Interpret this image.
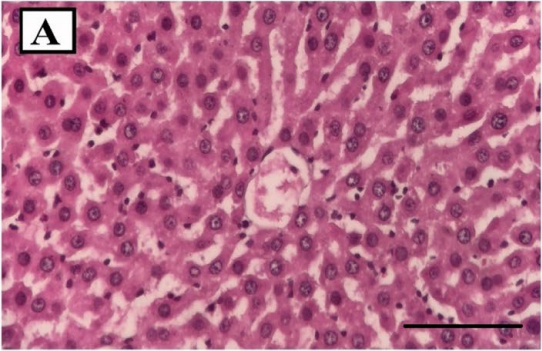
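This is liver tissue around a central vein, with hepatocytes arranged in cords radiating out from the vein. The hepatocytes are polygonal with evenly pink cytoplasm and round, centrally placed nuclei with visible nucleoli. Narrow pale sinusoids run between the cords. The cells are of fairly uniform size and staining across the field, and the lobular architecture is orderly.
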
